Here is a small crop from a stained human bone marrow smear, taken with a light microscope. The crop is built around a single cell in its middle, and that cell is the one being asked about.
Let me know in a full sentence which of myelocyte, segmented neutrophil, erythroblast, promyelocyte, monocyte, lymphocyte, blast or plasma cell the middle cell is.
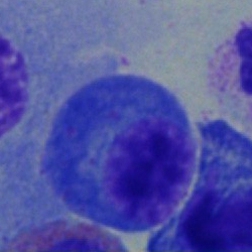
The centrally placed cell is classified as a plasma cell.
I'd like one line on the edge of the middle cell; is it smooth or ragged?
Worth noting that the cell border is smooth and lacks projections.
